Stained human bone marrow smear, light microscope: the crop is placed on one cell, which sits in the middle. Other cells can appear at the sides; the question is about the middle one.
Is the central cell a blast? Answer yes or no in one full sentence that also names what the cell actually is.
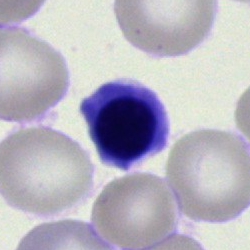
No, calling it a blast is wrong; the middle cell is an erythroblast.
